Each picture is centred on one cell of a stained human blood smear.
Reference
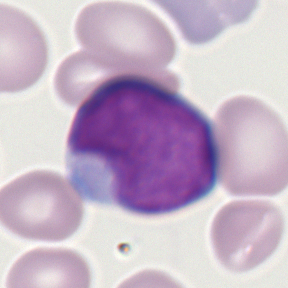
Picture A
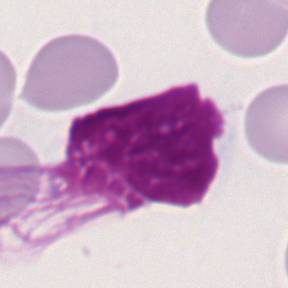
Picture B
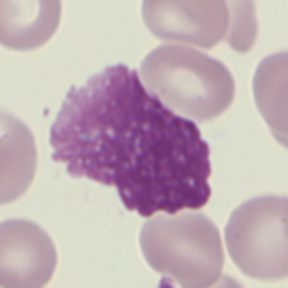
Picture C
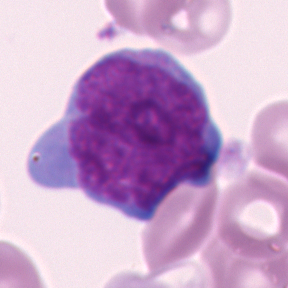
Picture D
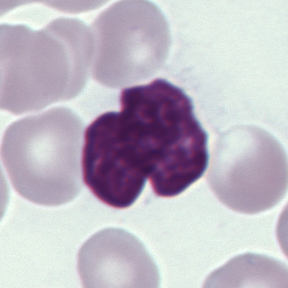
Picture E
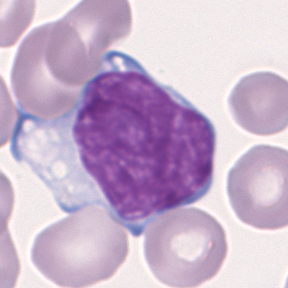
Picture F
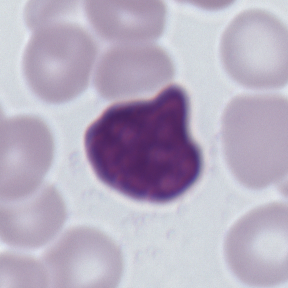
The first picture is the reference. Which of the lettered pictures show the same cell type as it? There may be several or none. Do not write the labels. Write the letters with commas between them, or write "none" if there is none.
C, E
